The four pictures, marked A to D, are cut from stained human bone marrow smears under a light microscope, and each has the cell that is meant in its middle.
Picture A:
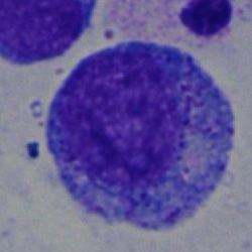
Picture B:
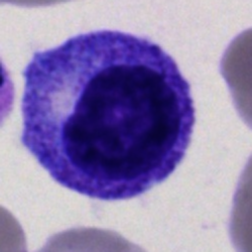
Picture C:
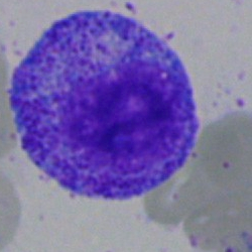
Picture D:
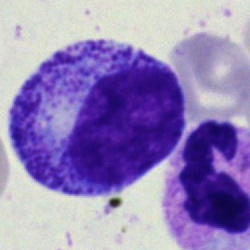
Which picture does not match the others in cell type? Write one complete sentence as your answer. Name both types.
Picture D differs, because its cell is a myelocyte and the rest are promyelocytes.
